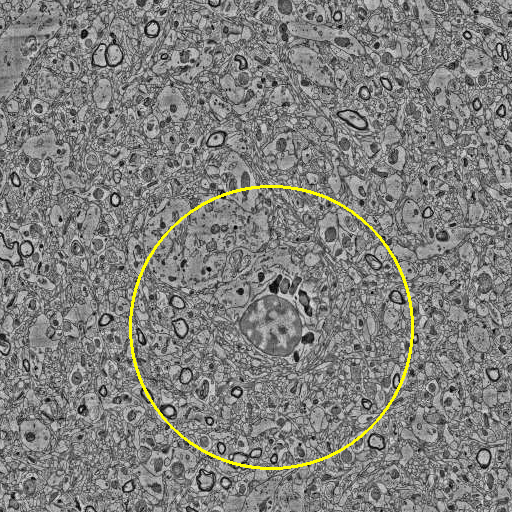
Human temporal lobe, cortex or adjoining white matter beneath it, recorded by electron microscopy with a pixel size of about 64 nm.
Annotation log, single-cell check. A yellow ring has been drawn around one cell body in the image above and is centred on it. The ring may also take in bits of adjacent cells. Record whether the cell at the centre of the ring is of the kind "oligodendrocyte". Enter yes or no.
no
